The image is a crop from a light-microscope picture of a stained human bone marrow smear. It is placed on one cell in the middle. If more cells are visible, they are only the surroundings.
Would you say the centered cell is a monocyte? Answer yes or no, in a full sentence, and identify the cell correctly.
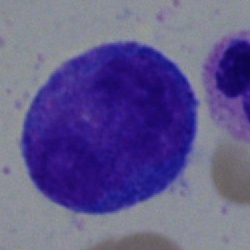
No, the cell sitting in the middle is a promyelocyte, and it is not a monocyte.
